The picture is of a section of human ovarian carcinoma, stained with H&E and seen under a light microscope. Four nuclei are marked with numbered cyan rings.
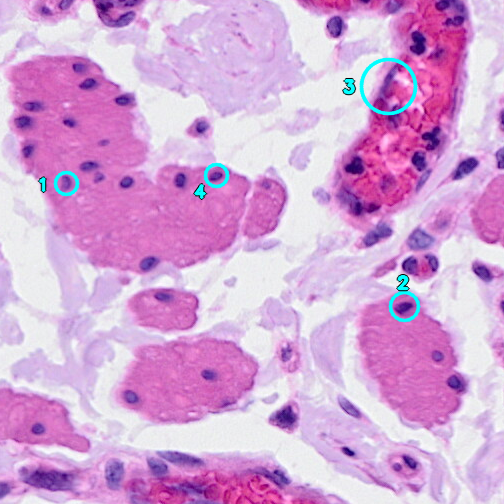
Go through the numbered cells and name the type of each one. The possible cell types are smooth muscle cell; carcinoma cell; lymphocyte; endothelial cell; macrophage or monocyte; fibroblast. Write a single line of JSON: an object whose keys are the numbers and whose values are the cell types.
{"1": "smooth muscle cell", "2": "smooth muscle cell", "3": "endothelial cell", "4": "smooth muscle cell"}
